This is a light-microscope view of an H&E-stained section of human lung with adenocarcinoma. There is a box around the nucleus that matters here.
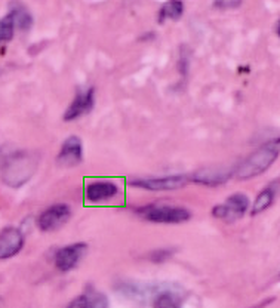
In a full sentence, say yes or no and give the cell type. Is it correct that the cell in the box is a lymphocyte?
No, in this tissue section, the cell in the box is not a lymphocyte but a plasma cell.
